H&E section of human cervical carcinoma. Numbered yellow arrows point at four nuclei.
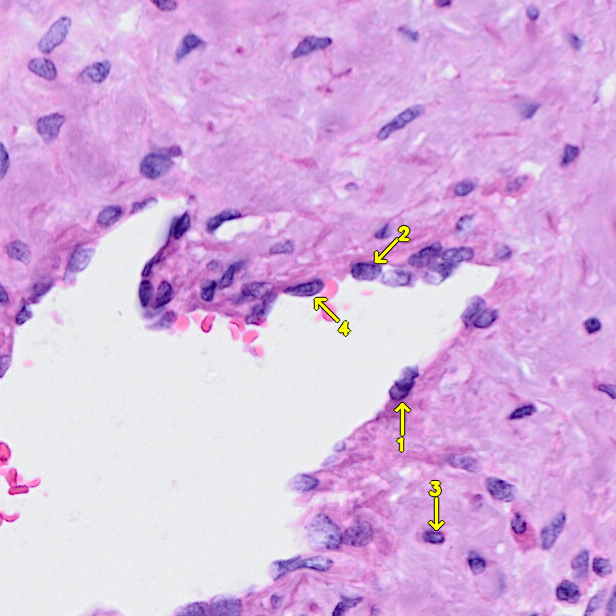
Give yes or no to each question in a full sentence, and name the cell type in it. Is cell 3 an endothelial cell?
No, cell 3 is to be classed as a smooth muscle cell, not an endothelial cell.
